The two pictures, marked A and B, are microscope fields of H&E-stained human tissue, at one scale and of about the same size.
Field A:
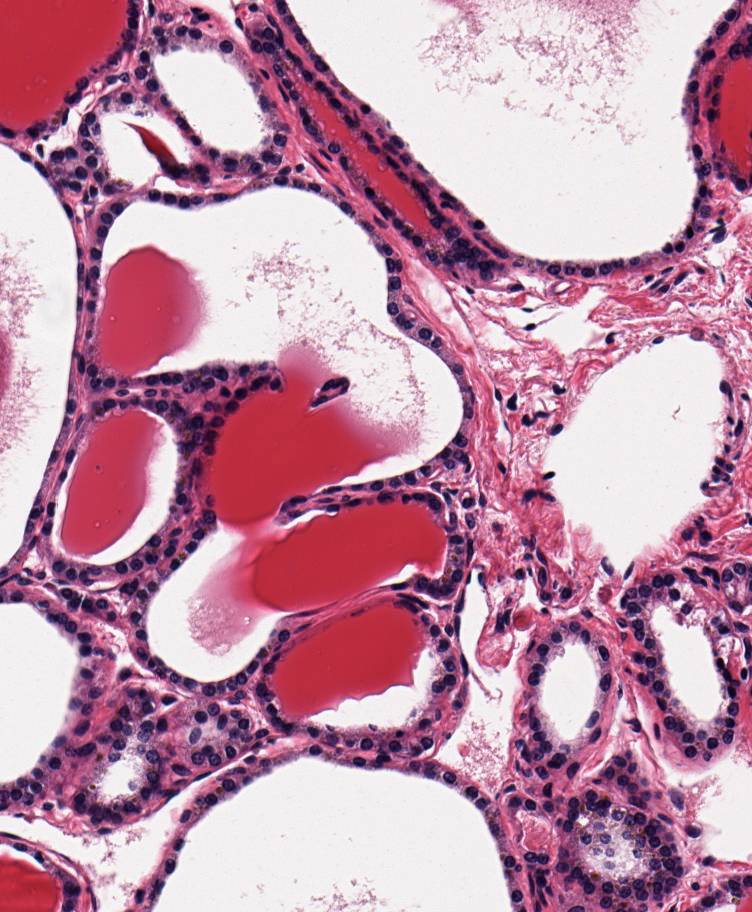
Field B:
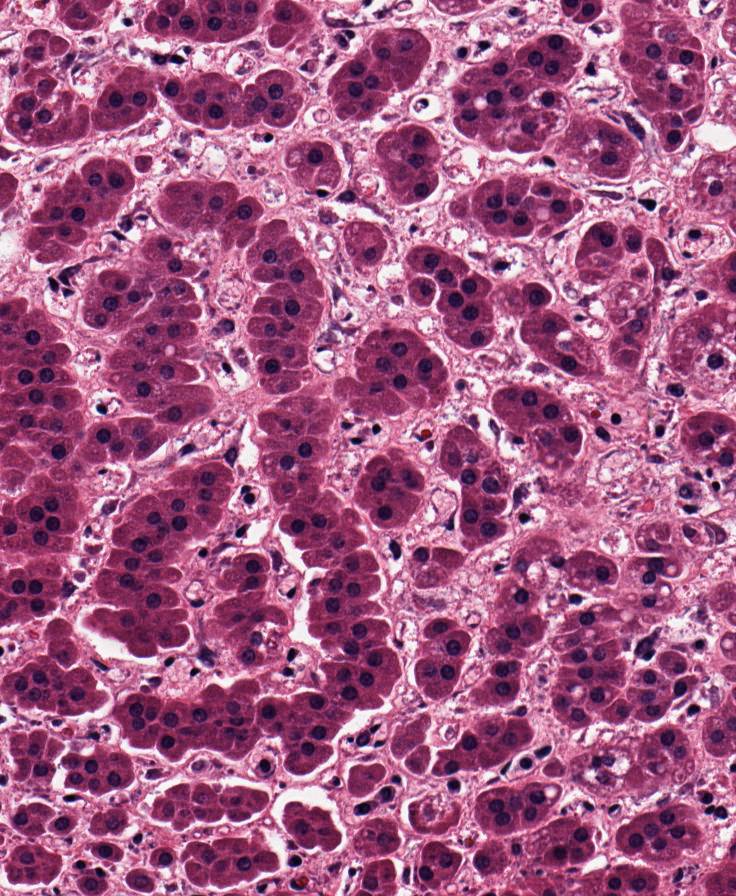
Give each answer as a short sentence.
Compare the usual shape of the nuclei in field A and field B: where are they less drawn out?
On the whole the nuclei of field B are rounder than those of field A.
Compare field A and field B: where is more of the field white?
Unstained space takes up more of field A than of field B.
